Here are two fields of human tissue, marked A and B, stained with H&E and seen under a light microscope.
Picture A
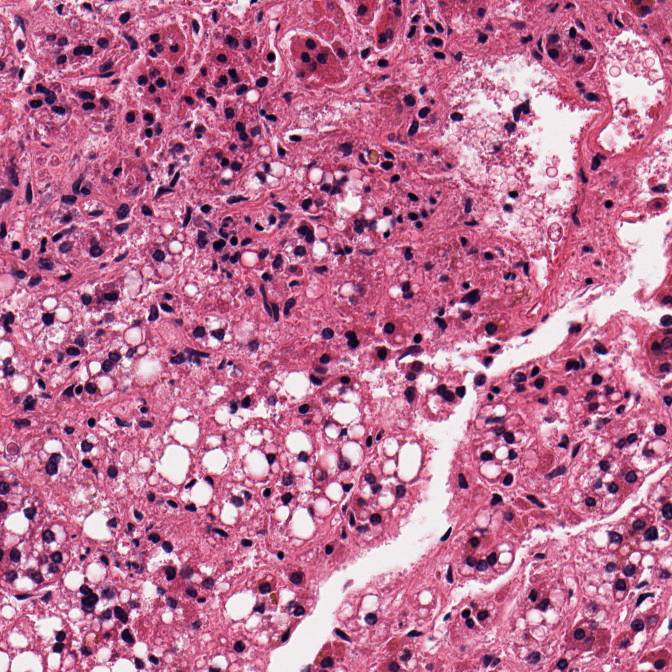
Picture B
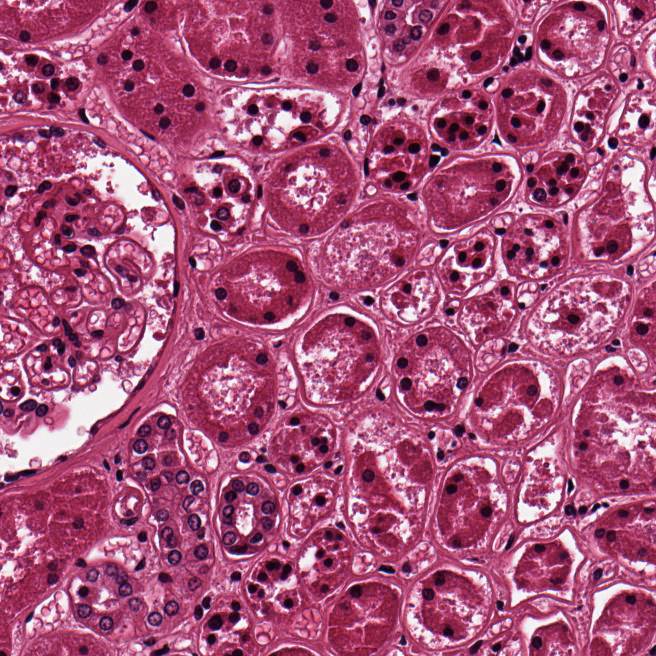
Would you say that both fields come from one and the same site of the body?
no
